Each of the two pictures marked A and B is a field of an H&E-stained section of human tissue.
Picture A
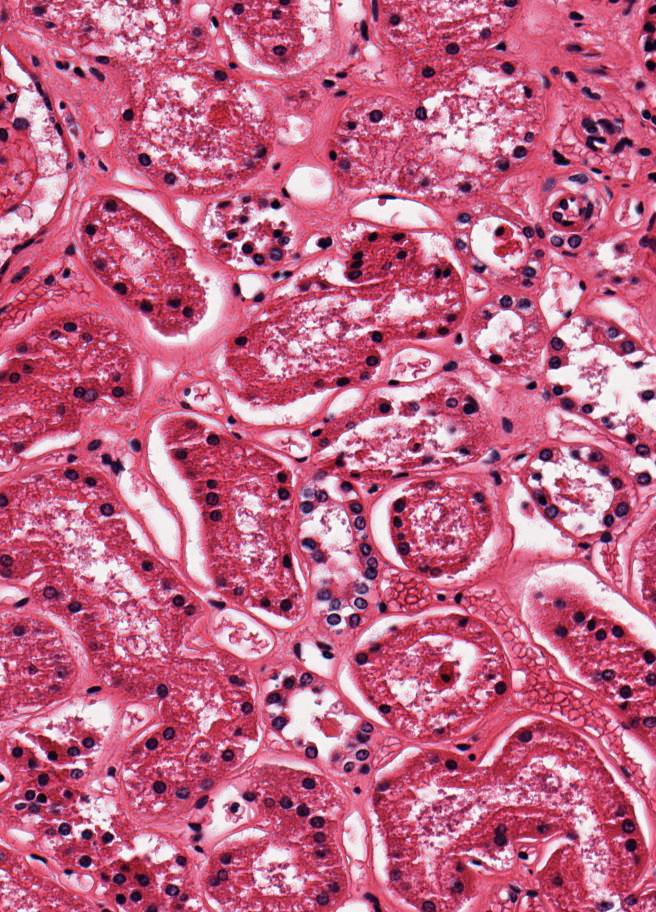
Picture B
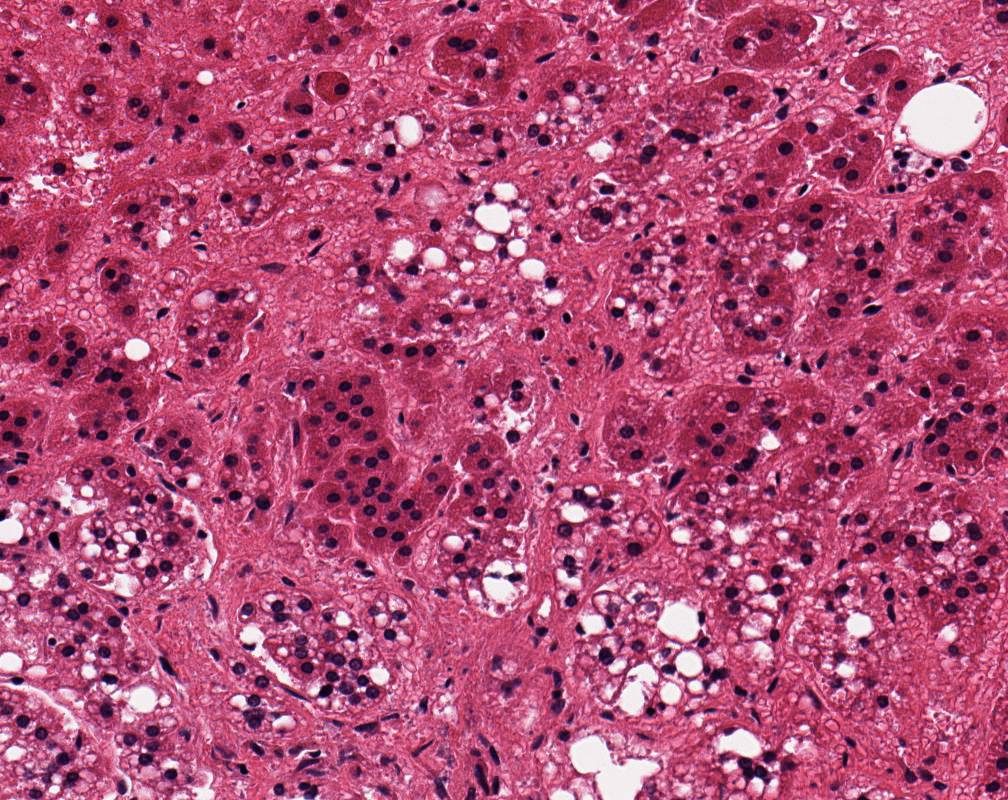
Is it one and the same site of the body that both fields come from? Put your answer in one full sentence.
No, they differ: picture A comes from the renal cortex, and picture B comes from the adrenal gland.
